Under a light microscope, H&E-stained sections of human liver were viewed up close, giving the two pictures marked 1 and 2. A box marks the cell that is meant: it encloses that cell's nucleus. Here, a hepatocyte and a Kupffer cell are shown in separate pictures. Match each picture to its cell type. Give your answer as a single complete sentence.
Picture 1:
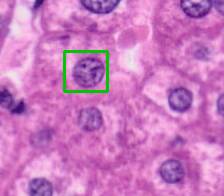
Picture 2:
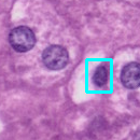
Picture 1 shows a hepatocyte and picture 2 shows a Kupffer cell.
